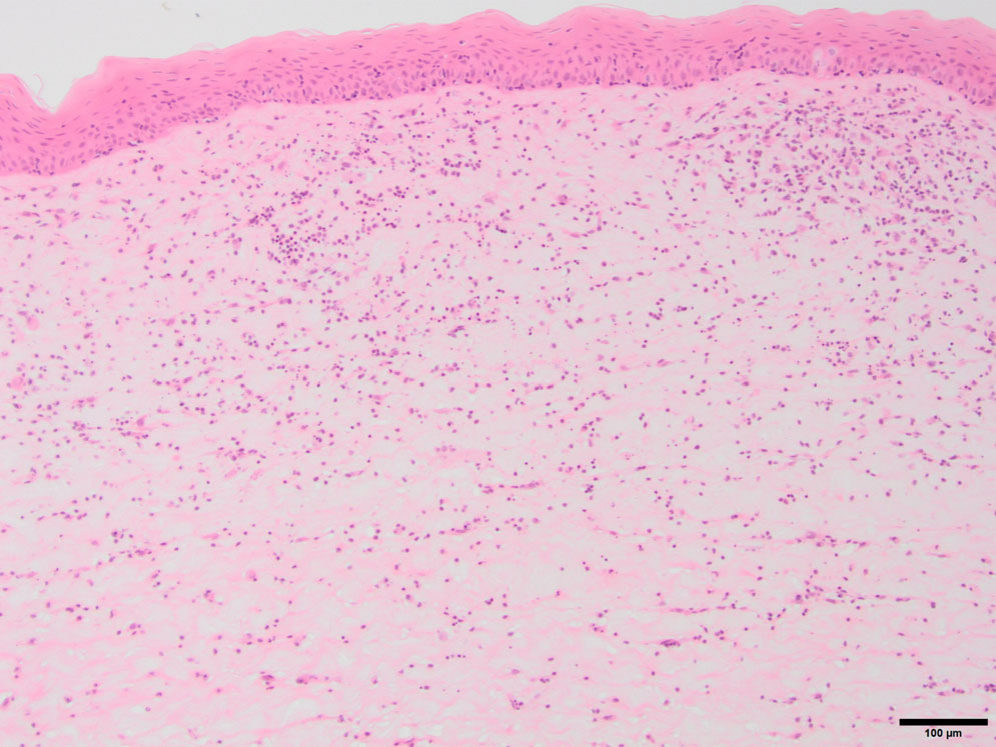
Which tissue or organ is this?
Cornea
